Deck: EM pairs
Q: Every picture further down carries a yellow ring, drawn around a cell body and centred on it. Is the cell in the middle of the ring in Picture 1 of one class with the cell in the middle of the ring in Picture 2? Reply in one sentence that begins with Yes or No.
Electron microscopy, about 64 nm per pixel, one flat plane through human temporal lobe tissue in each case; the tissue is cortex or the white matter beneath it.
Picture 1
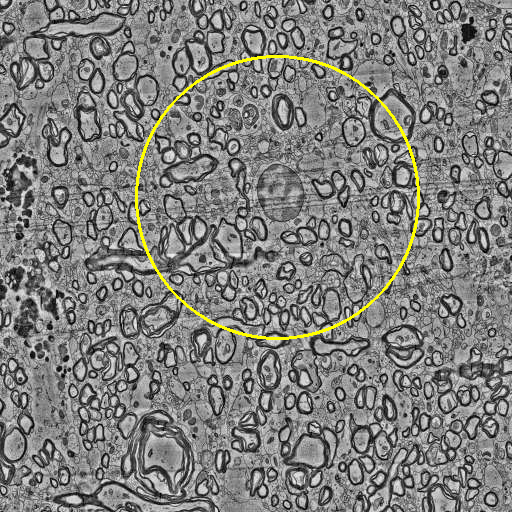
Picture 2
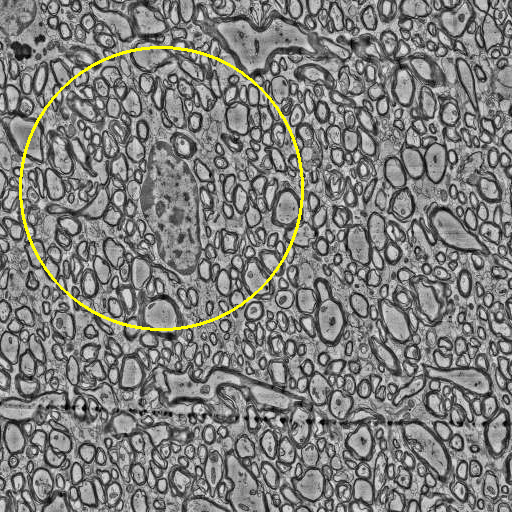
Yes, the cell centred in the ring of Picture 1 and the one in Picture 2 belong to one class.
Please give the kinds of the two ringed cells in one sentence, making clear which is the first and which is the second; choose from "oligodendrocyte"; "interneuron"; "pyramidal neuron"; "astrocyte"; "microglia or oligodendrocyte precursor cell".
The ring centre holds a microglial cell or oligodendrocyte precursor cell in each of the two pictures.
